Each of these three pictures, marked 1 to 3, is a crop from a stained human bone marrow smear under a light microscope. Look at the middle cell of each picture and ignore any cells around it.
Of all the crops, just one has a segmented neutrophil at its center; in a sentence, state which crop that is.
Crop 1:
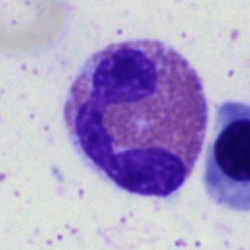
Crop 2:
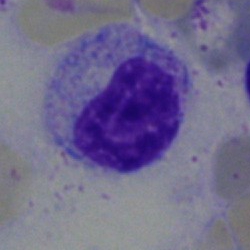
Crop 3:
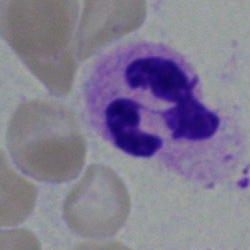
Of the crops shown, crop 3 depicts a segmented neutrophil.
